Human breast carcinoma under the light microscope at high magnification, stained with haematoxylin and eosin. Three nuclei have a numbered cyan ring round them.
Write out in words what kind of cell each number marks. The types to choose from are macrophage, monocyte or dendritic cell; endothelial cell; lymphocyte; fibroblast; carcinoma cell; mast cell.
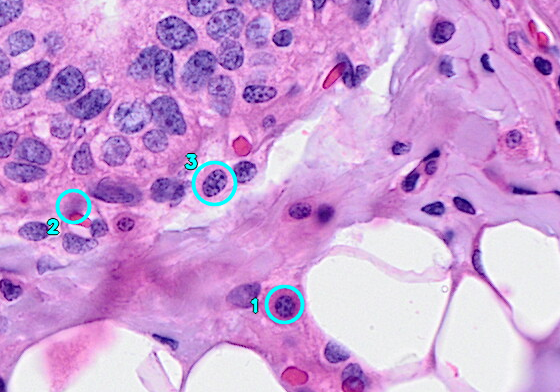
Cells 1 and 3 are mast cells. Cell 2 is an endothelial cell.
